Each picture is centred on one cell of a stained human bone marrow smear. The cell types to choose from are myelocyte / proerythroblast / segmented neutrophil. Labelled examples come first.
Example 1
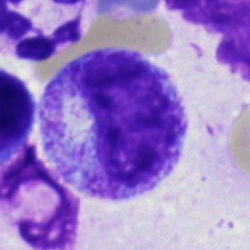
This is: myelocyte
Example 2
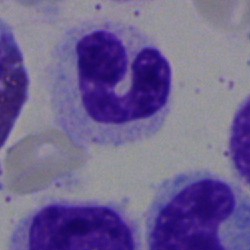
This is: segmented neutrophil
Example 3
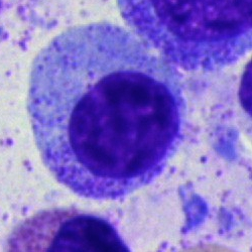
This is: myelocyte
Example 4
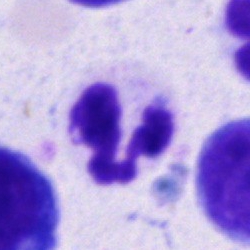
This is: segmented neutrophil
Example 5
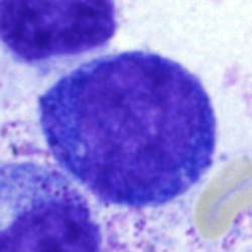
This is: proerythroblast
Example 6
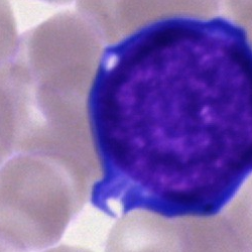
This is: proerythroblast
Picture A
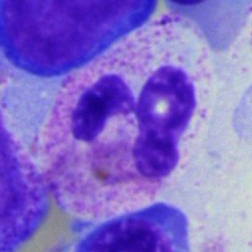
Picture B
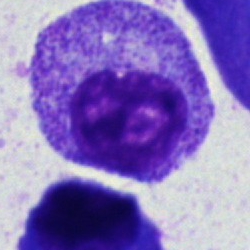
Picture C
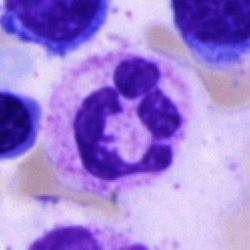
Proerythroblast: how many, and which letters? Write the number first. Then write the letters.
0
